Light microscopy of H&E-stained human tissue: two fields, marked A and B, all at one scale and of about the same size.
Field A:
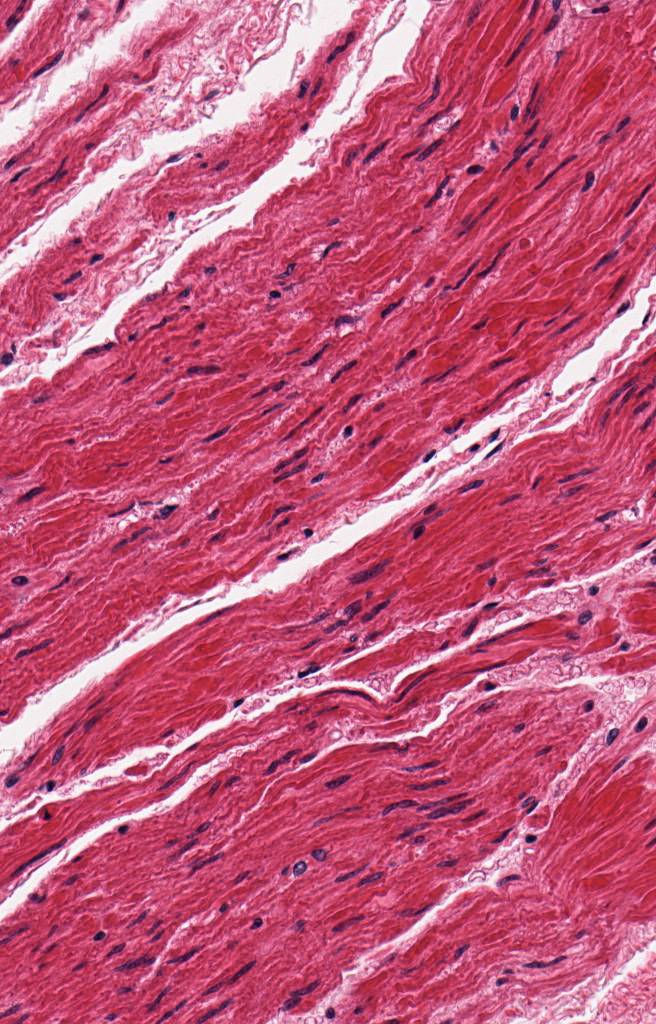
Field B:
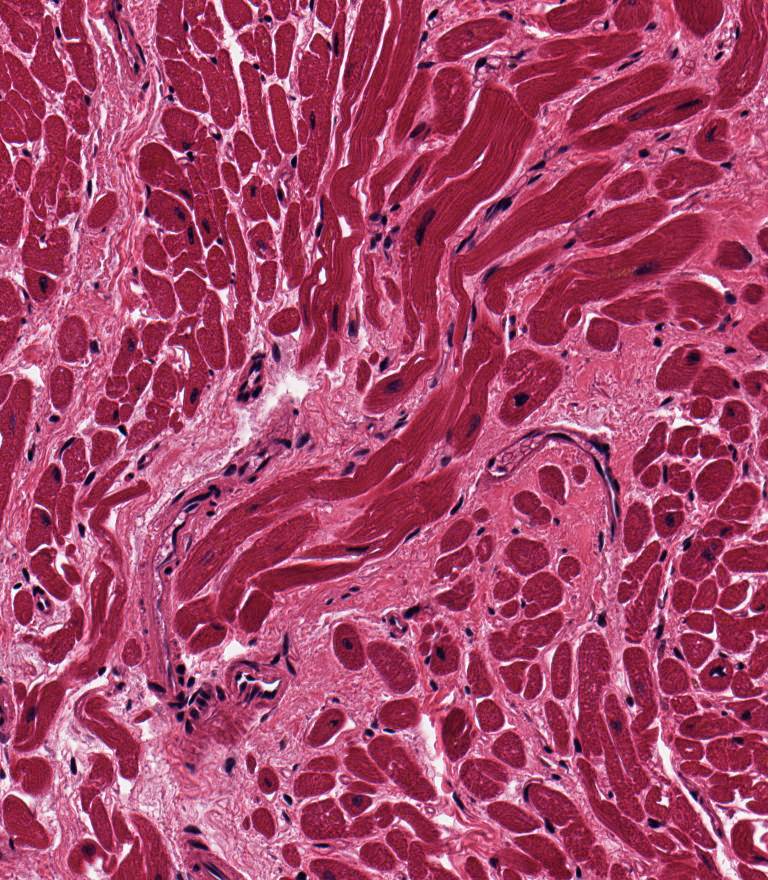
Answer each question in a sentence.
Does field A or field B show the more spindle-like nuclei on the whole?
The nuclei are more elongated in field A.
